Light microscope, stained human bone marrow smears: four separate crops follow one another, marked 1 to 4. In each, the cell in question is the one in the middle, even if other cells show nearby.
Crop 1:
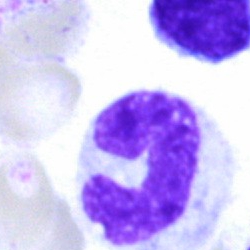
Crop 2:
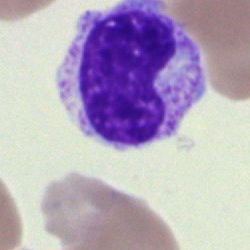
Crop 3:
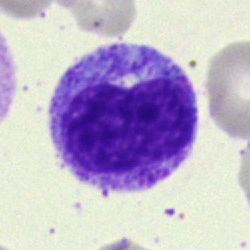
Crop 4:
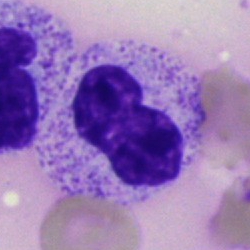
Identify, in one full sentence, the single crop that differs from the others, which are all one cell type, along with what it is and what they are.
What sets crop 1 apart is that it is a band neutrophil; the others are all metamyelocytes.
